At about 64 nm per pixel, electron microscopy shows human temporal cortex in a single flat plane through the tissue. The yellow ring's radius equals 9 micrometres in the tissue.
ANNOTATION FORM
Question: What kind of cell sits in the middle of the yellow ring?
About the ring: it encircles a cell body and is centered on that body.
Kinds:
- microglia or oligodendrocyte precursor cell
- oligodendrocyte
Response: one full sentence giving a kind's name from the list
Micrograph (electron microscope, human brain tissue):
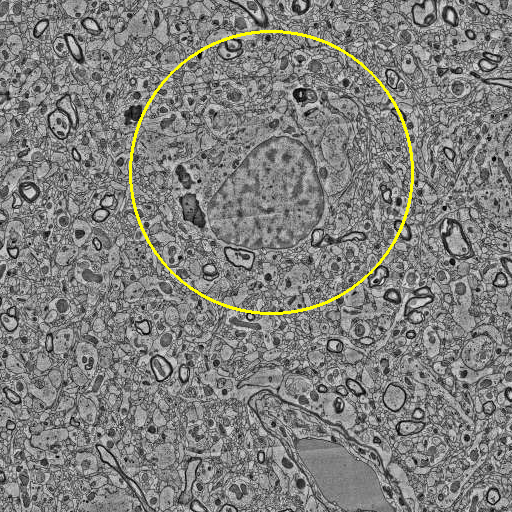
The kind of cell found at the center of the yellow ring in the micrograph is an oligodendrocyte.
